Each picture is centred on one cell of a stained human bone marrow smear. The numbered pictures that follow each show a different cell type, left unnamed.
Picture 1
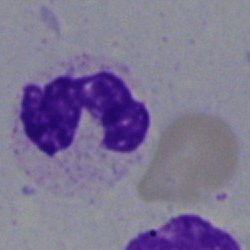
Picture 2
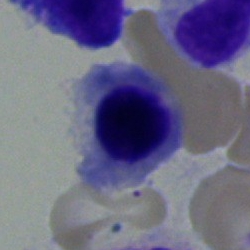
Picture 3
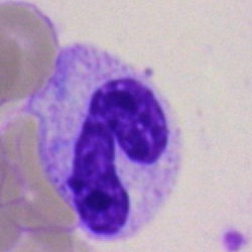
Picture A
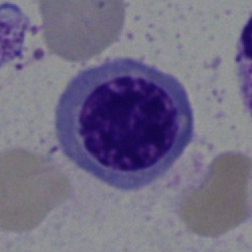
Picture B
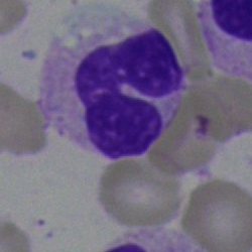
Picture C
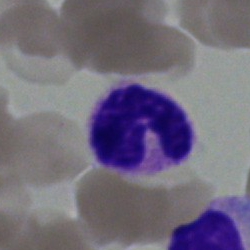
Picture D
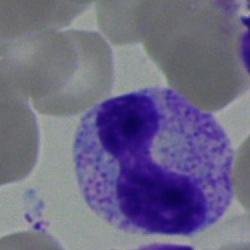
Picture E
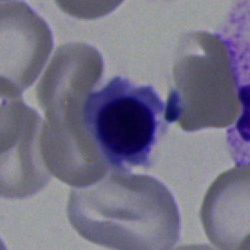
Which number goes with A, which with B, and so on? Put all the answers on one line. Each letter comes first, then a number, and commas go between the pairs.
A 2, B 3, C 1, D 3, E 2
